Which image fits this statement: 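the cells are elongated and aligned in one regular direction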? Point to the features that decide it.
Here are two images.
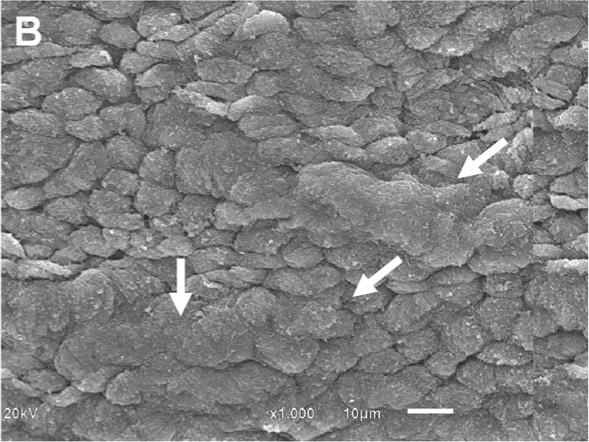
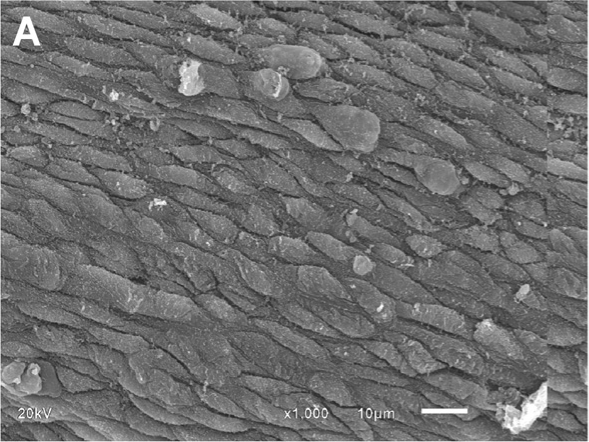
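First image: cells are rounded or polygonal, irregularly arranged, with confluent thickened patches. Second image: cells are spindle-shaped and lie parallel in one diagonal direction over the whole field.
Answer: the second image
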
